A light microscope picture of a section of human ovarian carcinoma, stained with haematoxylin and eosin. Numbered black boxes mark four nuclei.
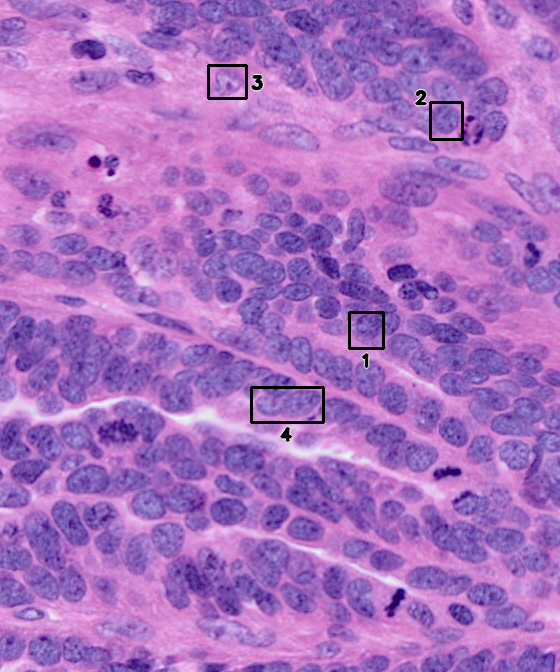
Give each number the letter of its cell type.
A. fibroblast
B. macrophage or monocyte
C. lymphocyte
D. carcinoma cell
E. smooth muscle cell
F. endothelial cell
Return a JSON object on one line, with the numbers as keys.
{"1": "D", "2": "D", "3": "A", "4": "D"}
